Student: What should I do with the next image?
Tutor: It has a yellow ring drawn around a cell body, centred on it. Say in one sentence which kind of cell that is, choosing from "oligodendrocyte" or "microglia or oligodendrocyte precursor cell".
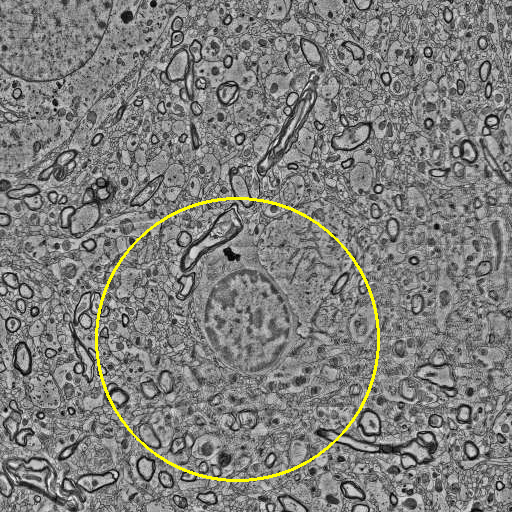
The ring's centre is occupied by an oligodendrocyte.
